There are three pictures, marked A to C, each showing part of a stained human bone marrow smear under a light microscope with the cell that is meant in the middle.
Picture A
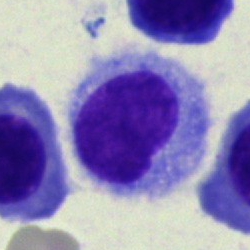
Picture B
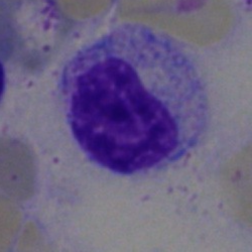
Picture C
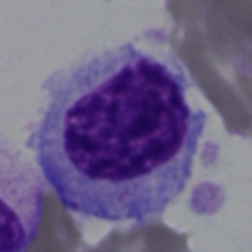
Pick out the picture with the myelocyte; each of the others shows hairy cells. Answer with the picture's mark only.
B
